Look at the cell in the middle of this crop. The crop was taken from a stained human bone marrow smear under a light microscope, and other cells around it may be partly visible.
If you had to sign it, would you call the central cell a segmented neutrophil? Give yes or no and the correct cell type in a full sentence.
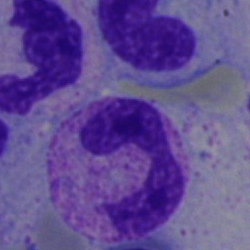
Yes, in this crop the cell in the middle is a segmented neutrophil.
